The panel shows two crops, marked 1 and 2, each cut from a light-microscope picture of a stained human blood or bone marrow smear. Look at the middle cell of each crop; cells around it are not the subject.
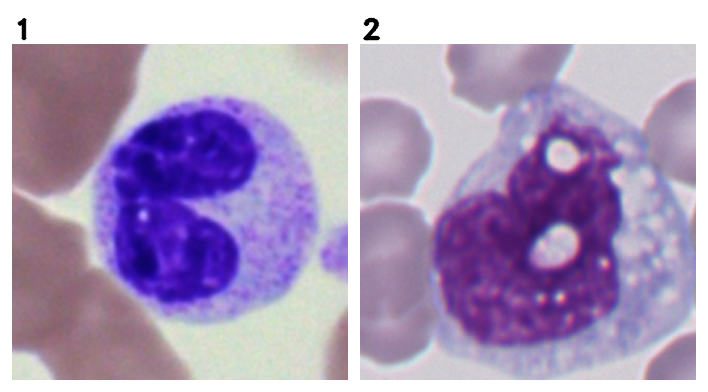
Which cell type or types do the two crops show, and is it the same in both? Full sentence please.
No, crop 2 holds a monocyte, while crop 1 holds a band neutrophil.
